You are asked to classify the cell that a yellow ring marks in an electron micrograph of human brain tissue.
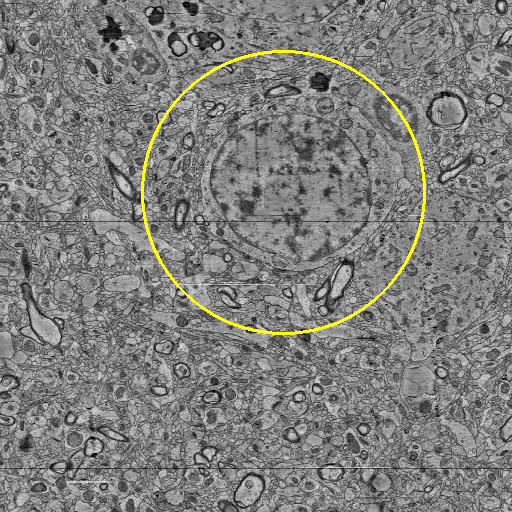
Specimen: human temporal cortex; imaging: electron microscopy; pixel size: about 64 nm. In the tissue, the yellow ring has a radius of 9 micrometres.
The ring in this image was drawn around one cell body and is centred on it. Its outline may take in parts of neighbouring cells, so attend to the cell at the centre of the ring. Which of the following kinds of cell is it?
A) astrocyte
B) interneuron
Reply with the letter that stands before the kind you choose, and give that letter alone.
B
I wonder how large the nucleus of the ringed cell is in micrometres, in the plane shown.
Roughly 10 micrometers across in this plane.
